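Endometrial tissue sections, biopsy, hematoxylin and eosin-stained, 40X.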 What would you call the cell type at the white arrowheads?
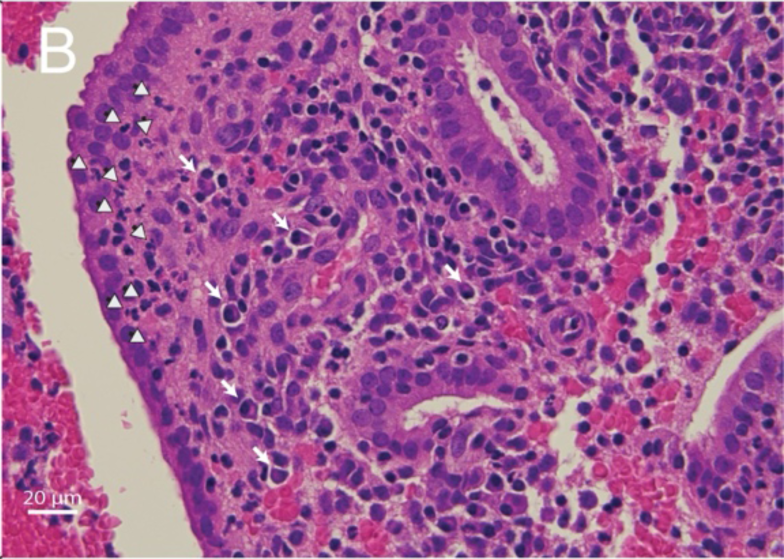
Neutrophils.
